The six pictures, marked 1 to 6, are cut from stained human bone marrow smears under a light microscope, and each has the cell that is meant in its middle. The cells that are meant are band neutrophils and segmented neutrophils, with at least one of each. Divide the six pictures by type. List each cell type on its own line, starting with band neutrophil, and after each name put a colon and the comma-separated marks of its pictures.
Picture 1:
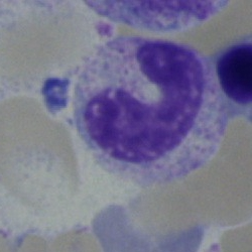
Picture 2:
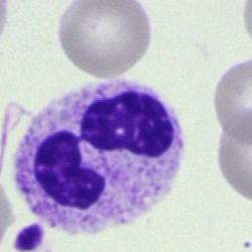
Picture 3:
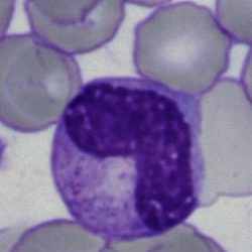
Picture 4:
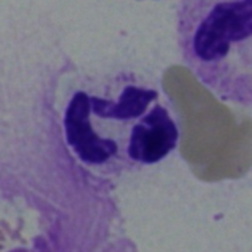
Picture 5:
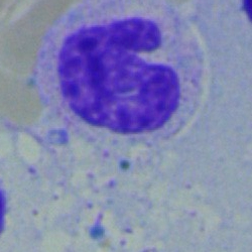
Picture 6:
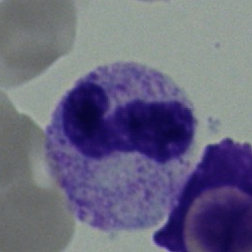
band neutrophil: 1, 3, 5, 6
segmented neutrophil: 2, 4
